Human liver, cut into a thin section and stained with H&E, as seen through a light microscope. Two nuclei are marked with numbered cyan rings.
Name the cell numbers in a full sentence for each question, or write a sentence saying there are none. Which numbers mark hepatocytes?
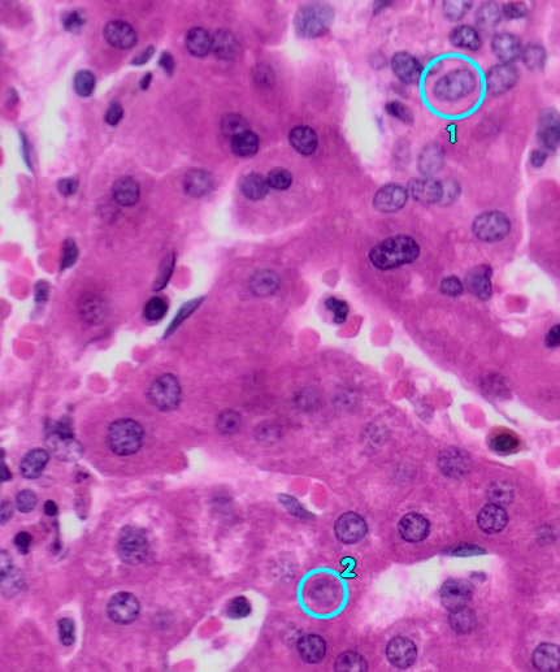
Among the numbered cells, a hepatocyte occurs only once, as cell 2.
